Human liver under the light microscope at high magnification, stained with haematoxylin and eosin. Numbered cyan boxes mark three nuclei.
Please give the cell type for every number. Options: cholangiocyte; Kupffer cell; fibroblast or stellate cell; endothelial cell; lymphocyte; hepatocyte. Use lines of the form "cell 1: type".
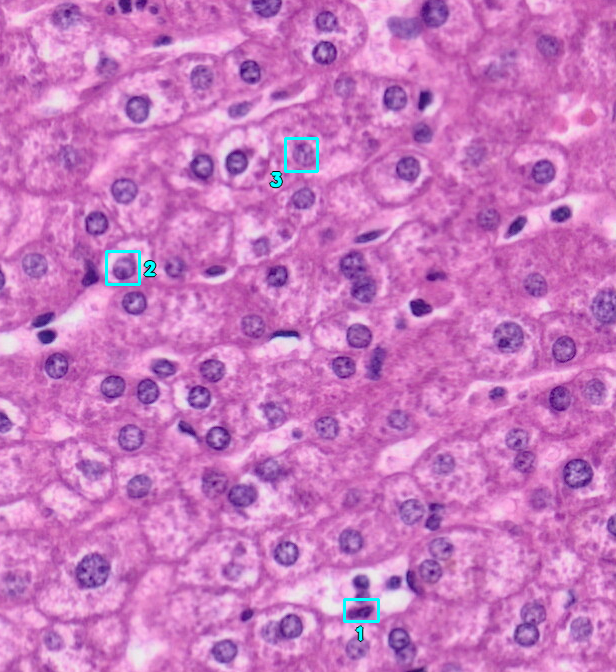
cell 1: Kupffer cell
cell 2: hepatocyte
cell 3: hepatocyte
